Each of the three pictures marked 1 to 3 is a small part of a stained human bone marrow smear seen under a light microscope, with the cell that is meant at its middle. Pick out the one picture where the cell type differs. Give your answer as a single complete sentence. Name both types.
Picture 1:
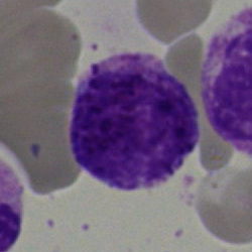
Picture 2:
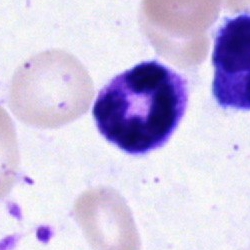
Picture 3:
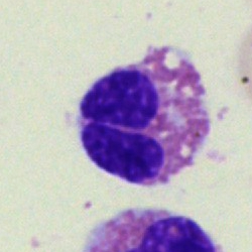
Picture 2 differs, because its cell is a segmented neutrophil and the rest are basophils.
